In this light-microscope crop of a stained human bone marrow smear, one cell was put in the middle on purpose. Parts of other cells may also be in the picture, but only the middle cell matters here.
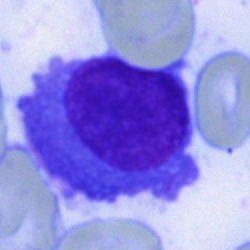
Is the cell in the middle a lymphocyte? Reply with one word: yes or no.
no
